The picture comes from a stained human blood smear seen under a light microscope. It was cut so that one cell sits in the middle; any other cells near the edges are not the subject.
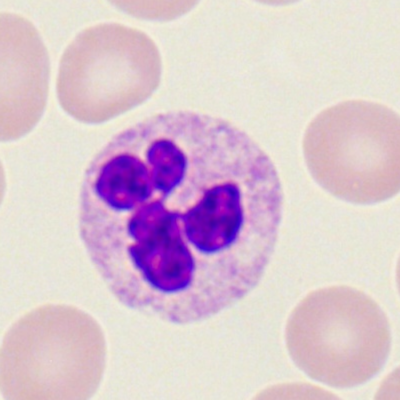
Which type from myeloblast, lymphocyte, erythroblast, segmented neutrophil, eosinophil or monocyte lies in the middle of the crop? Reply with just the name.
segmented neutrophil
